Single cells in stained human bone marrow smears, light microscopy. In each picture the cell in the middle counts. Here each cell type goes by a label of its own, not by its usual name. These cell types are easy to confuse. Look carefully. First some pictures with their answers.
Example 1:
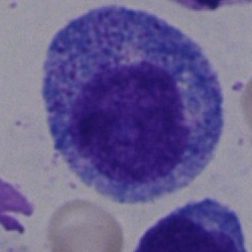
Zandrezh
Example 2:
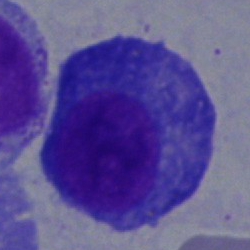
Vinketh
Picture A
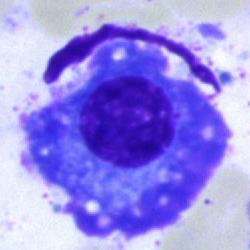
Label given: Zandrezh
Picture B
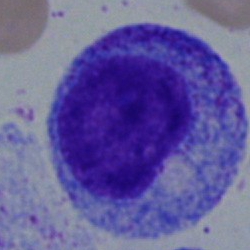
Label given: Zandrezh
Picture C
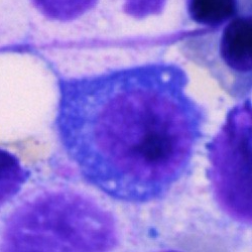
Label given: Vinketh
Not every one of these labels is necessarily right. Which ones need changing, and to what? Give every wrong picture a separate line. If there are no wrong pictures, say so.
A: change Zandrezh to Vinketh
